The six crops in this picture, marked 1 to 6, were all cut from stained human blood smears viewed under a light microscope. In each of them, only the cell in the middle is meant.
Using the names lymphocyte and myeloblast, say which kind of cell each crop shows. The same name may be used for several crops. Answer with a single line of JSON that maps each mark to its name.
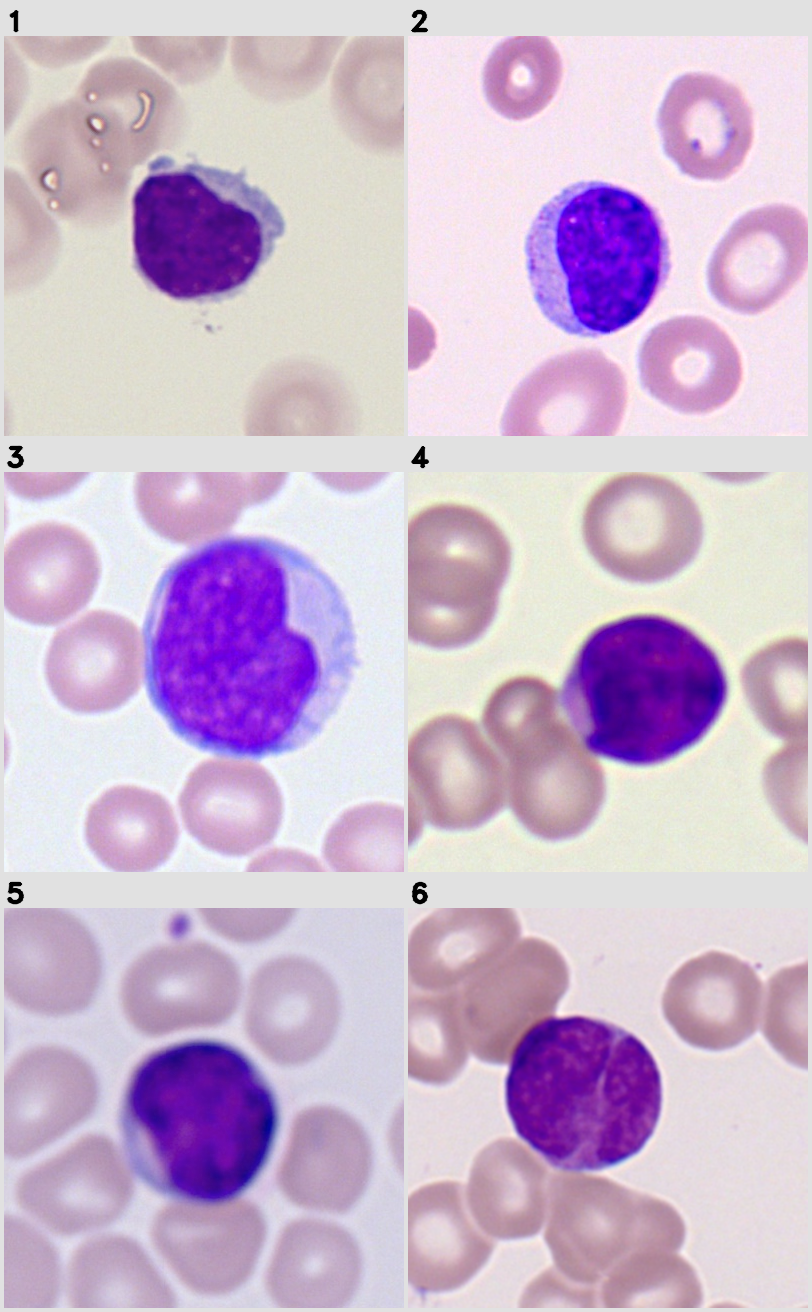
{"1": "lymphocyte", "2": "lymphocyte", "3": "myeloblast", "4": "myeloblast", "5": "myeloblast", "6": "myeloblast"}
